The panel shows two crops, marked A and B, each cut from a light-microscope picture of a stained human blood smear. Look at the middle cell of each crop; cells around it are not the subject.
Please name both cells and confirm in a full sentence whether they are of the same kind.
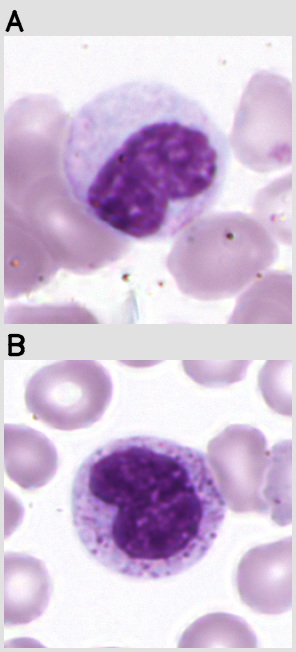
Yes, the cells in both crops are metamyelocytes.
